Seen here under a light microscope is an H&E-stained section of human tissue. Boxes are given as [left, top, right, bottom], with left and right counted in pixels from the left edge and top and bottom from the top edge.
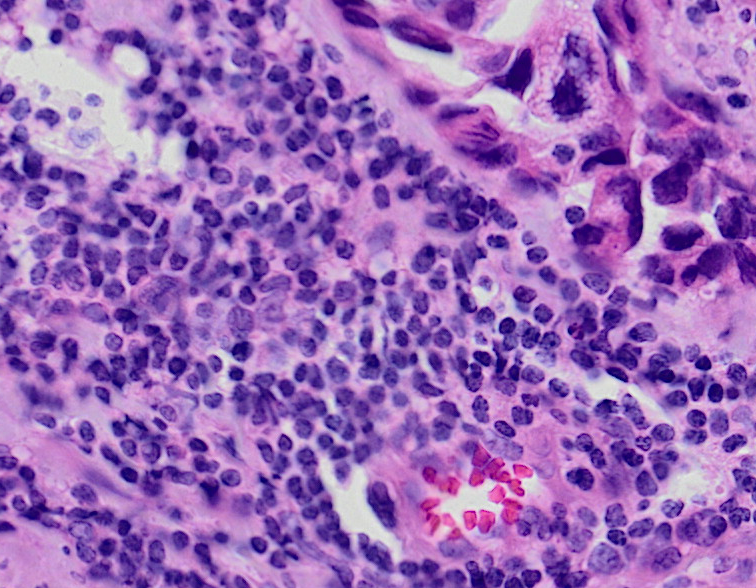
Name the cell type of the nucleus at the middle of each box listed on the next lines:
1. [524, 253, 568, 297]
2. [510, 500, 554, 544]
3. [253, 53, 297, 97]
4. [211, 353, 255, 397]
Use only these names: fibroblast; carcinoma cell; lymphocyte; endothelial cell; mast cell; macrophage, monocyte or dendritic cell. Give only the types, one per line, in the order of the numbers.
lymphocyte
endothelial cell
lymphocyte
lymphocyte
